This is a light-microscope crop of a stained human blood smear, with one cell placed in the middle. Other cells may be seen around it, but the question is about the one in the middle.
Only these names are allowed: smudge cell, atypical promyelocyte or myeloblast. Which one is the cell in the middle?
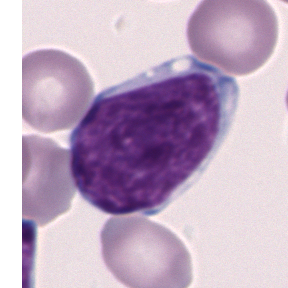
myeloblast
